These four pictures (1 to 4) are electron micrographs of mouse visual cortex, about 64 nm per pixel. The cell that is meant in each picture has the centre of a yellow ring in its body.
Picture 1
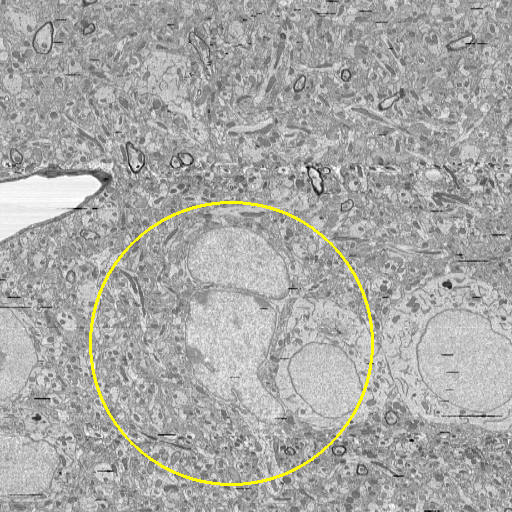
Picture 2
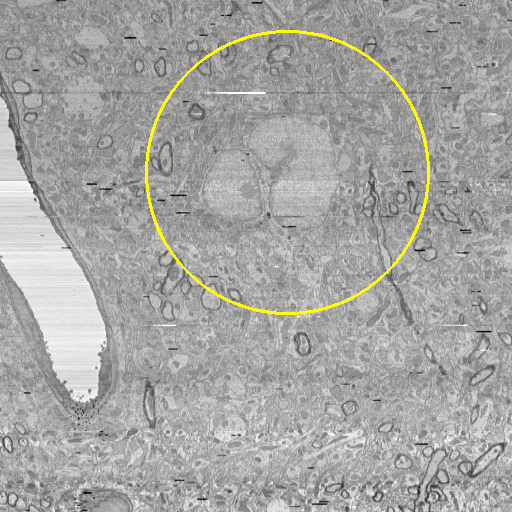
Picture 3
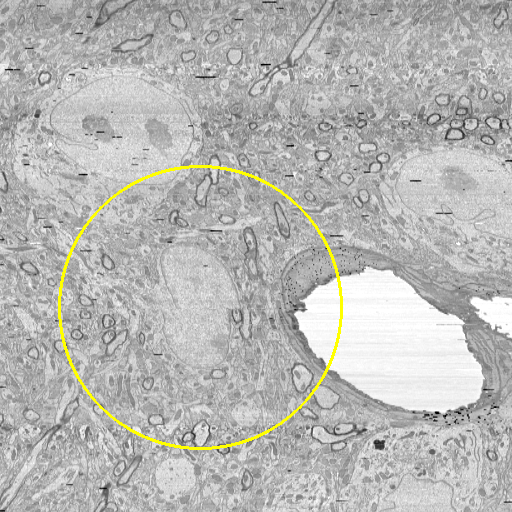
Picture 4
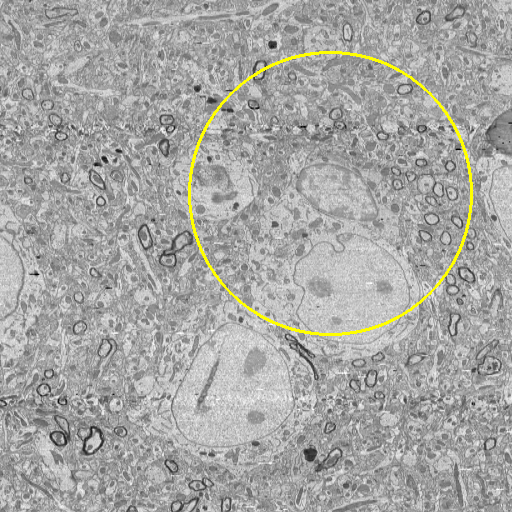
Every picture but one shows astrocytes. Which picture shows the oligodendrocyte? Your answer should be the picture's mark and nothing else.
4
